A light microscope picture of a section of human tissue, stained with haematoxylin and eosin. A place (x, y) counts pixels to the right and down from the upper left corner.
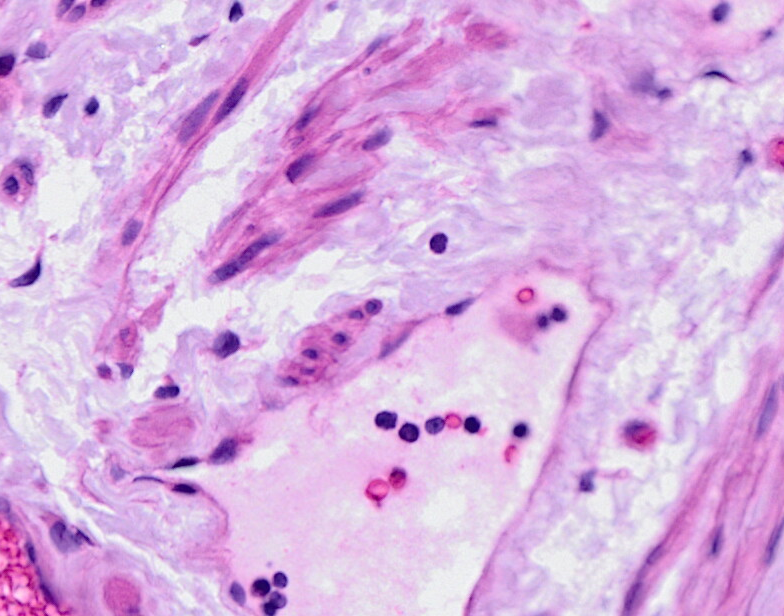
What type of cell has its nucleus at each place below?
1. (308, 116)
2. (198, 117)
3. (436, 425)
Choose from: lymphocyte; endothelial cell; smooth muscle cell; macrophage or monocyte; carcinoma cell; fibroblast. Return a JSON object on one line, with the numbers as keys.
{"1": "smooth muscle cell", "2": "smooth muscle cell", "3": "lymphocyte"}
